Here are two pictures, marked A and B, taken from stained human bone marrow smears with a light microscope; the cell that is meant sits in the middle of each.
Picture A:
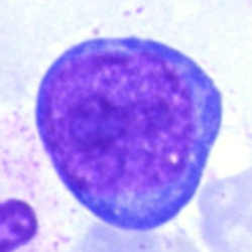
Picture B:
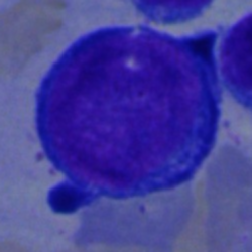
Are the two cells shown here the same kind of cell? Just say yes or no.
yes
